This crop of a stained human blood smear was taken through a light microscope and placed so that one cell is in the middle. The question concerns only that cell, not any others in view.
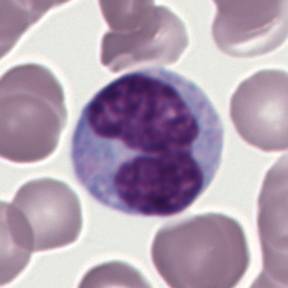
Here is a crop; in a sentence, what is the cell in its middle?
The central element of this crop is a cell, namely a monocyte.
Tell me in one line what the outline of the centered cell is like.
Thanks for asking; the cell edge is smooth and has no projections.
